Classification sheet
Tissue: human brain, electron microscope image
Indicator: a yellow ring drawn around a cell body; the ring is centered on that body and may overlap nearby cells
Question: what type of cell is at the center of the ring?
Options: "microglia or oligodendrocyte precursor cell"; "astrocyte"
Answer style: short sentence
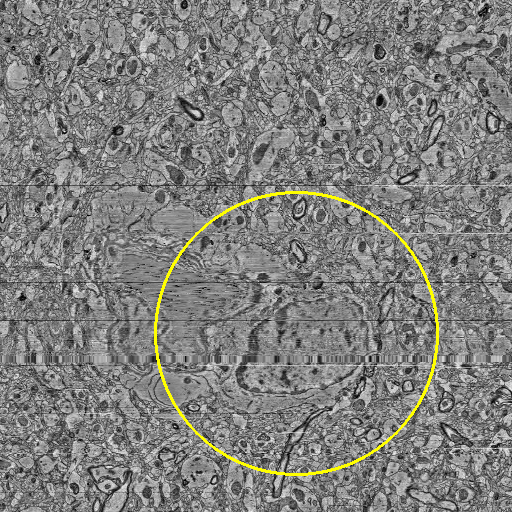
At the ring's center is a microglial cell or oligodendrocyte precursor cell.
